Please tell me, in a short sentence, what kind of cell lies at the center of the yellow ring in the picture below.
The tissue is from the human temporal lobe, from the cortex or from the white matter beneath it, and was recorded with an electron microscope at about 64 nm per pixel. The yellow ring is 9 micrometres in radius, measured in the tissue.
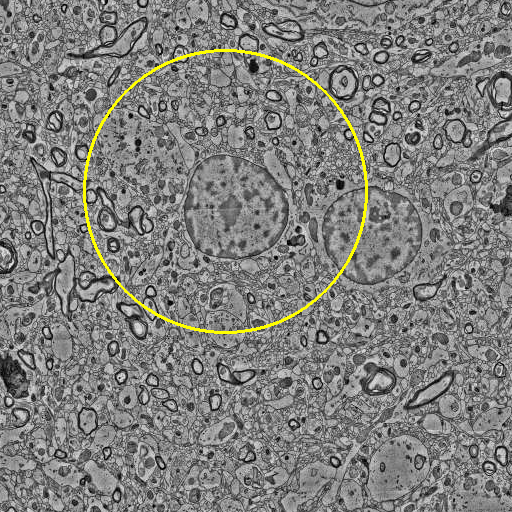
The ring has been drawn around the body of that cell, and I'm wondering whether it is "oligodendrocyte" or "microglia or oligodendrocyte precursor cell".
The cell at the center of the ring is a microglial cell or oligodendrocyte precursor cell.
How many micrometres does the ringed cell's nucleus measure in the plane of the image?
In this plane, the nucleus measures approximately 7 micrometres across.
